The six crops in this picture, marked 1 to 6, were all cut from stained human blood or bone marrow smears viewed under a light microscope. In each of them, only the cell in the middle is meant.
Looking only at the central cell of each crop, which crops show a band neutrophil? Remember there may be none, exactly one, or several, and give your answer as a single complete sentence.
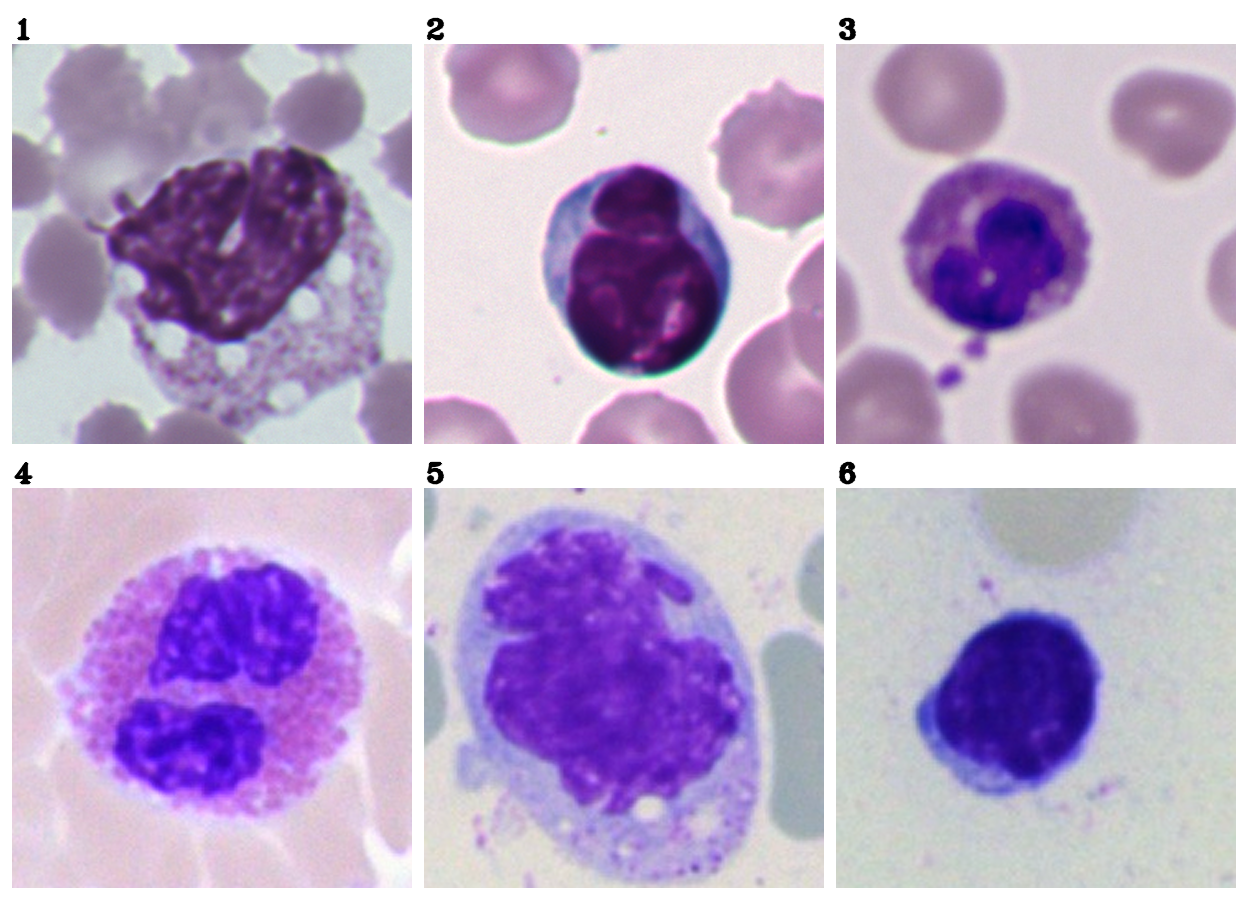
Of the crops shown, crop 1 is the one and only crop with a band neutrophil.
